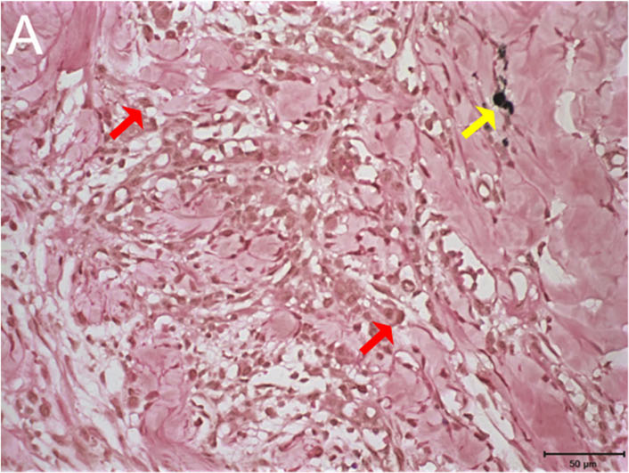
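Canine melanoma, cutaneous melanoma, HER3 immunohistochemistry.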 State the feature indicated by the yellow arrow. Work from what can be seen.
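Melanin. The yellow arrow points to a clump of black granules. The black granules stand out against the pink and brown tissue.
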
